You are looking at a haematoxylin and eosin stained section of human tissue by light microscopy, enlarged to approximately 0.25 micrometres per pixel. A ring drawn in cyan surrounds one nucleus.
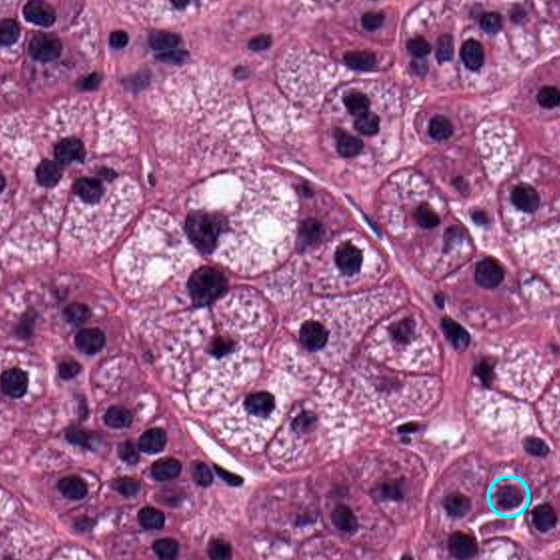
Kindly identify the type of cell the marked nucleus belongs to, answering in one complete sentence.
As shown, the marked nucleus belongs to an adrenal cortical cell.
